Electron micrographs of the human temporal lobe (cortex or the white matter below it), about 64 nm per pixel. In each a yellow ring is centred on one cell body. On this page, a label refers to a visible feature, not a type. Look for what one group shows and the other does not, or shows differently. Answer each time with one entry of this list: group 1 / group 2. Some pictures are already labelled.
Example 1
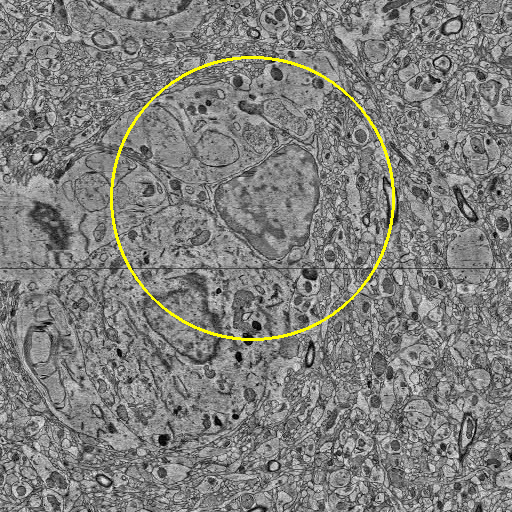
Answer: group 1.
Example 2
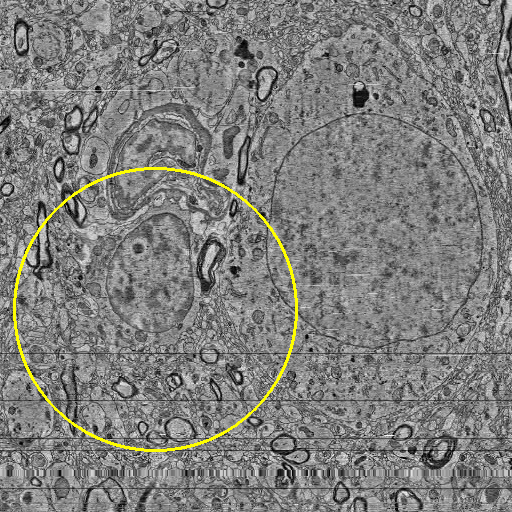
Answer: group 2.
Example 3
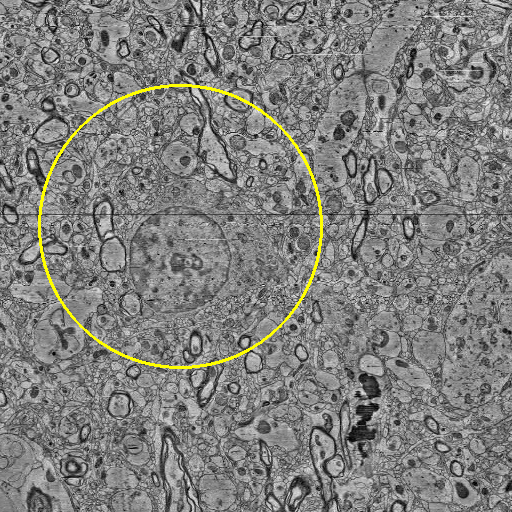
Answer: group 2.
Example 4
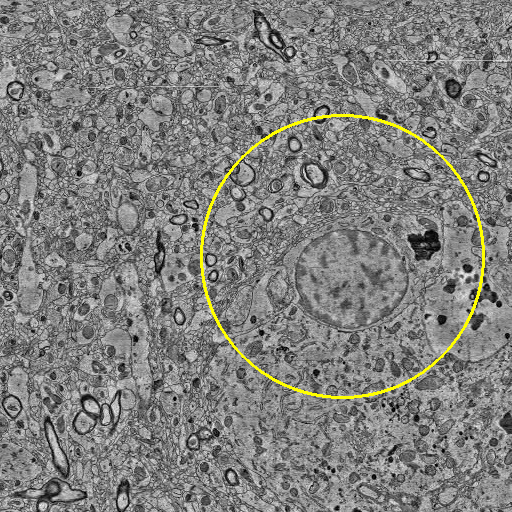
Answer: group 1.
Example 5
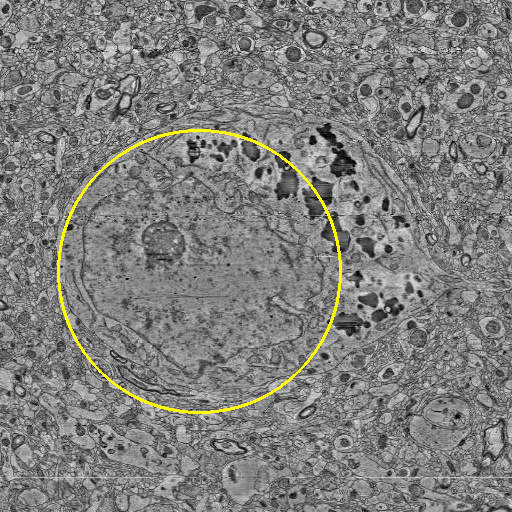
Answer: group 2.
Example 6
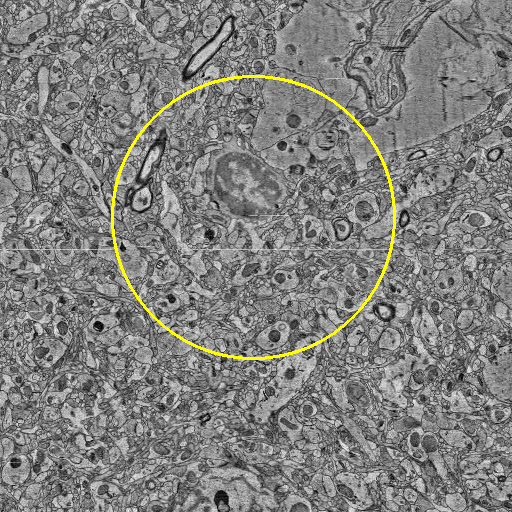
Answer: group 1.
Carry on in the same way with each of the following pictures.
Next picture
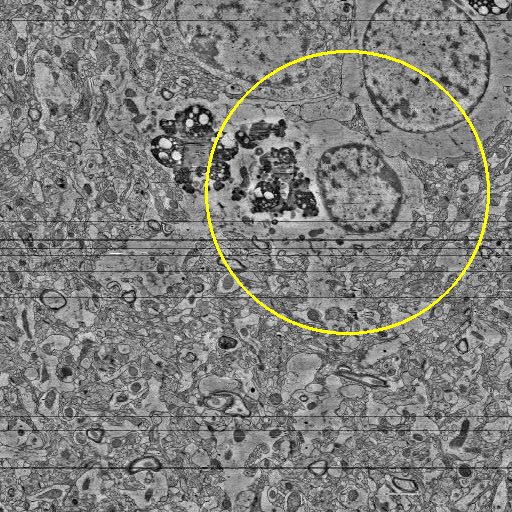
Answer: group 1.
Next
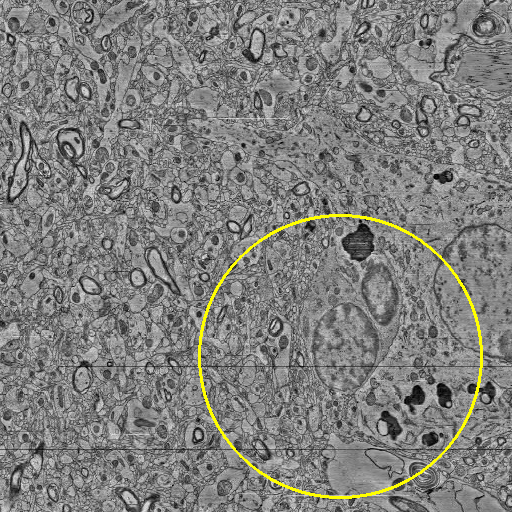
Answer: group 1.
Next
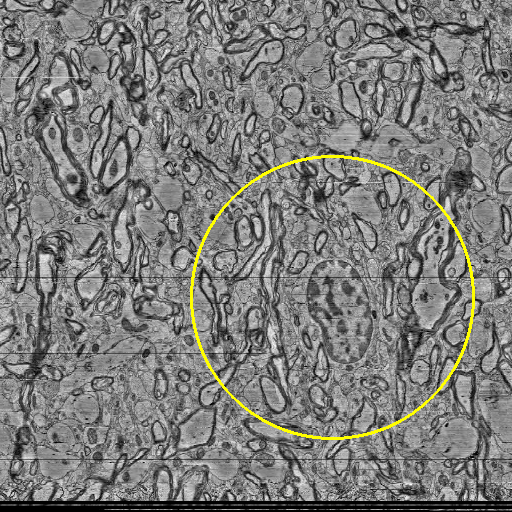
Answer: group 1.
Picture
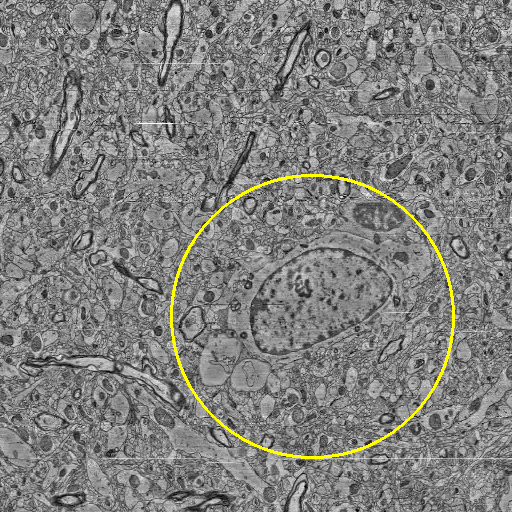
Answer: group 2.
